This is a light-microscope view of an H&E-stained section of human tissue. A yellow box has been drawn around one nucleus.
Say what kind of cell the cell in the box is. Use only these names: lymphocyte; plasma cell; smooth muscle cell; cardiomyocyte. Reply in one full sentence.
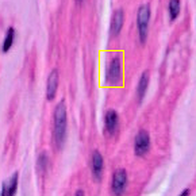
Just put down that the cell in the box is a smooth muscle cell.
